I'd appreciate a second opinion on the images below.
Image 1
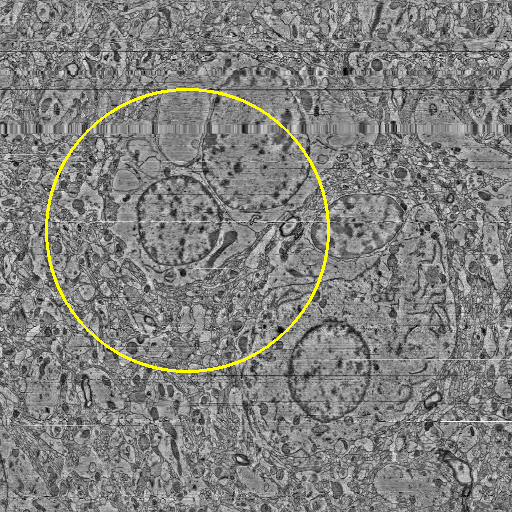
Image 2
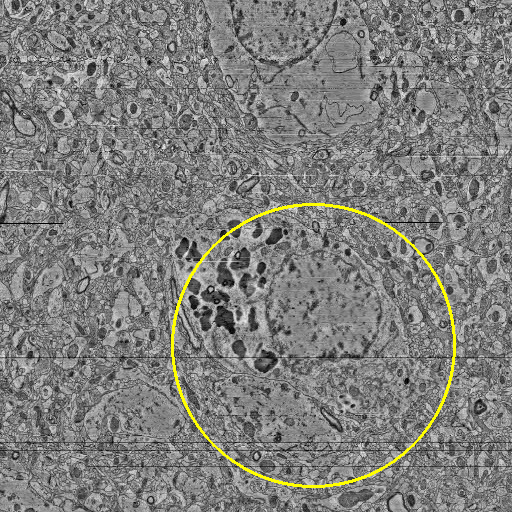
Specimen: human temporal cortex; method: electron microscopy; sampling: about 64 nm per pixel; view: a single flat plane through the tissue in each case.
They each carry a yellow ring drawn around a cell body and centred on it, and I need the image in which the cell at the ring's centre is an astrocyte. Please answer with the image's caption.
Image 1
